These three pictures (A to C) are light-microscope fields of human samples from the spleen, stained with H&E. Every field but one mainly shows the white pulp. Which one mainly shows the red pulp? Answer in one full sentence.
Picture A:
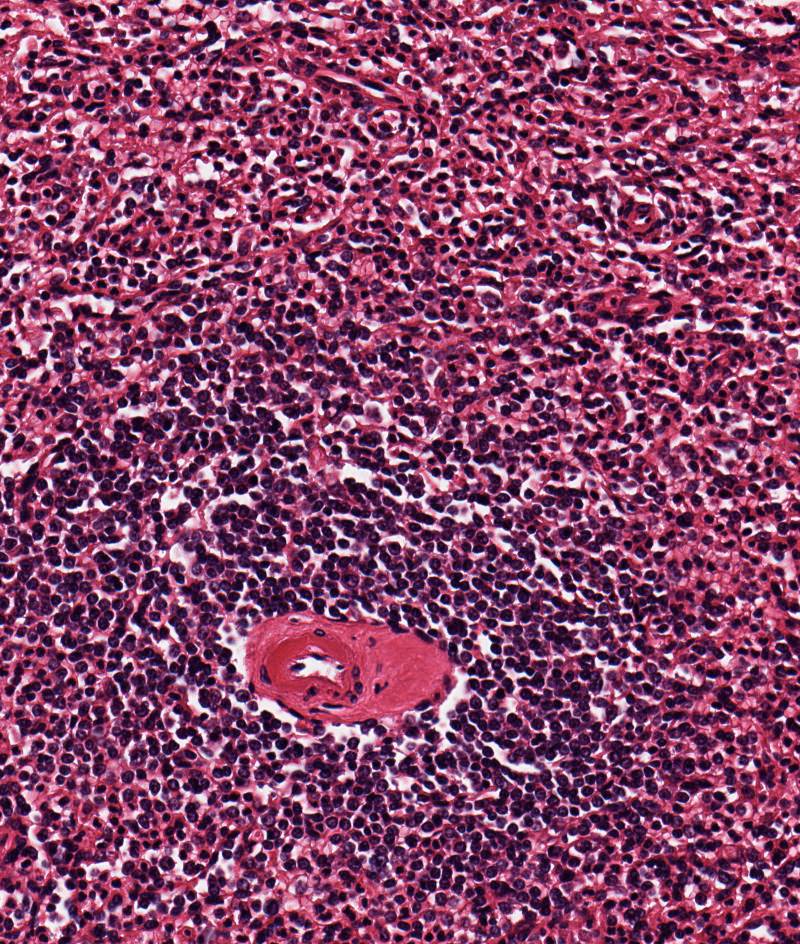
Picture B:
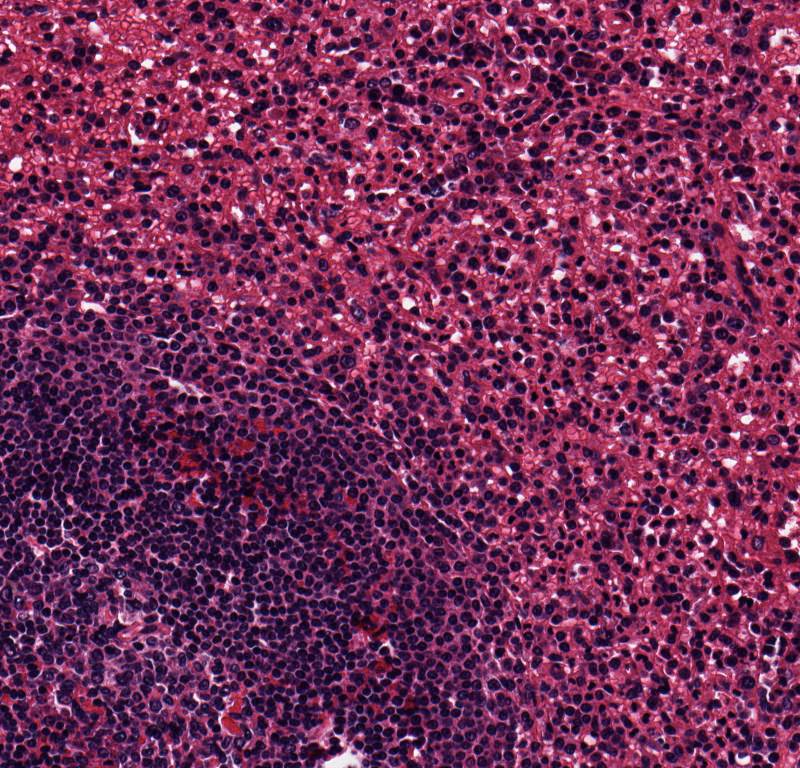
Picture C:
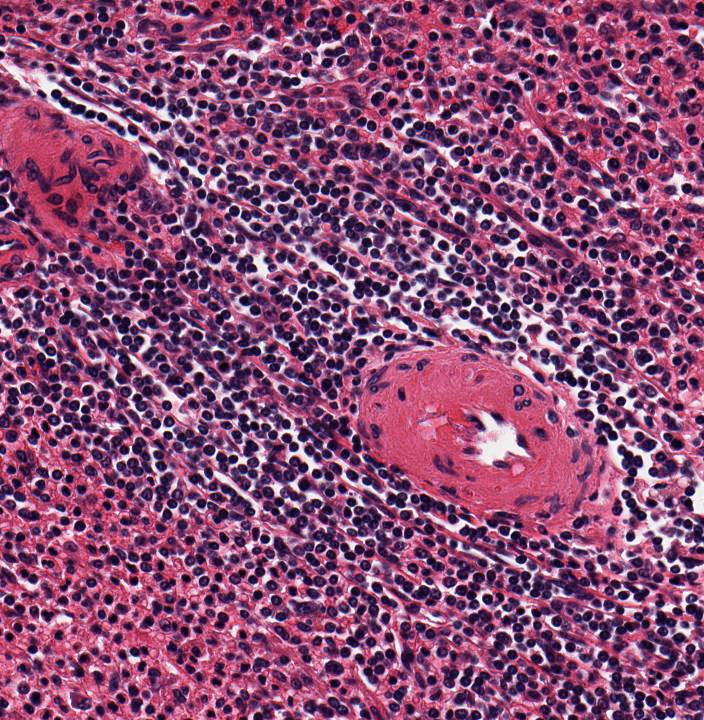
The one that mainly shows the red pulp is picture B.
